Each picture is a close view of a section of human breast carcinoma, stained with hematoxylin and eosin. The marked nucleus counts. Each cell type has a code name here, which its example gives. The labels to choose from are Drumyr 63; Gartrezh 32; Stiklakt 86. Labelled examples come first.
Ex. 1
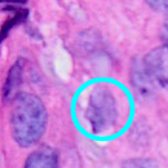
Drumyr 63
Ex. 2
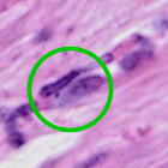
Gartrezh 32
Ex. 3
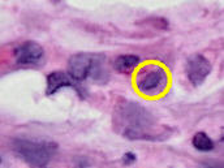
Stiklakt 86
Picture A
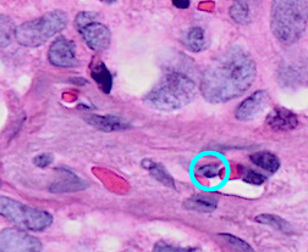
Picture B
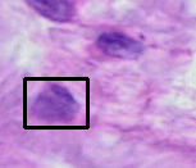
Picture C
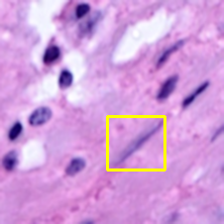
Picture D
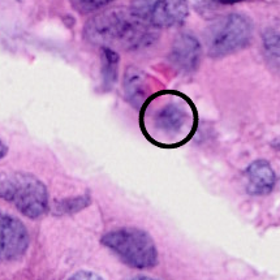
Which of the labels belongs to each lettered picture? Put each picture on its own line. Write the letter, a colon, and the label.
A: Stiklakt 86
B: Gartrezh 32
C: Gartrezh 32
D: Stiklakt 86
